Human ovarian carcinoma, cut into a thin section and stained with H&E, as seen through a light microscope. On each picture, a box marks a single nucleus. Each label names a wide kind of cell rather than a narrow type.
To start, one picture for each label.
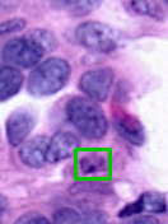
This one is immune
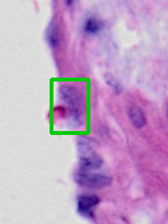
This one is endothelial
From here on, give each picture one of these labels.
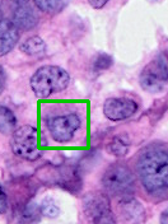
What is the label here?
immune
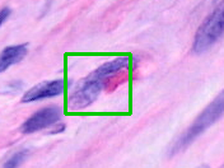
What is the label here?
endothelial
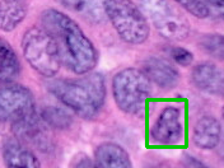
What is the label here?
immune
